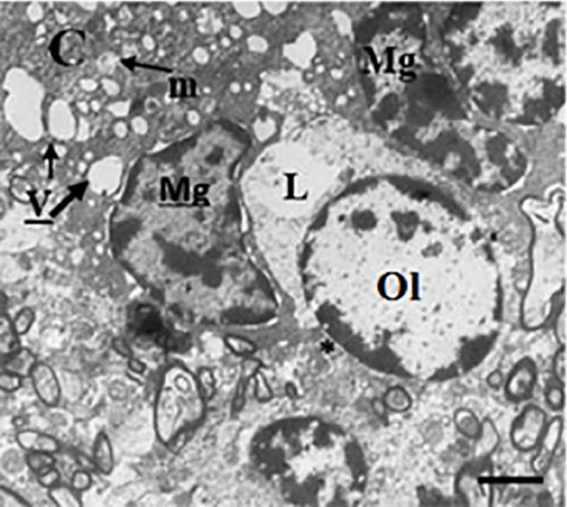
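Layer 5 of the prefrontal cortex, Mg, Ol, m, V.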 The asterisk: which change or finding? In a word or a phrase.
Microglial cytoplasm contacts with oligodendrocyte nucleus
